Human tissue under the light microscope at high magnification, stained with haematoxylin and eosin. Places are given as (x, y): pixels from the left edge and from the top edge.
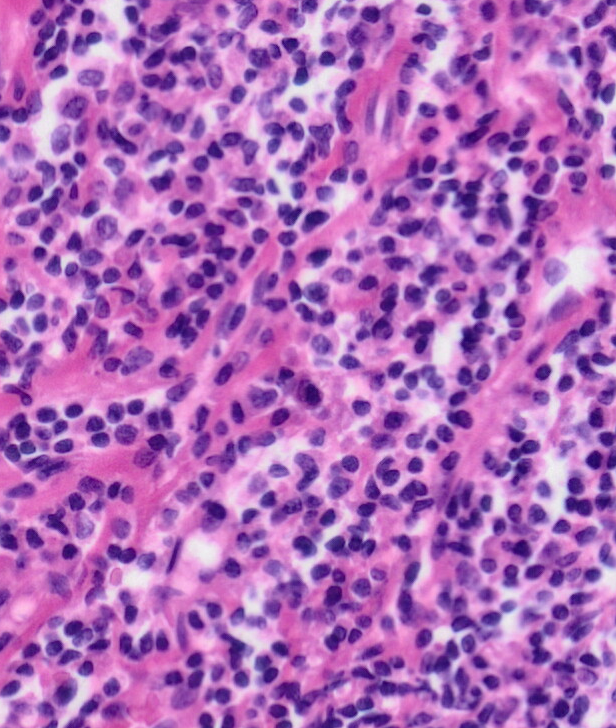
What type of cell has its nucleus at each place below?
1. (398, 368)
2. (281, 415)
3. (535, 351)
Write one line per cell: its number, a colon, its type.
1: small lymphocyte
2: plasma cell
3: endothelial cell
